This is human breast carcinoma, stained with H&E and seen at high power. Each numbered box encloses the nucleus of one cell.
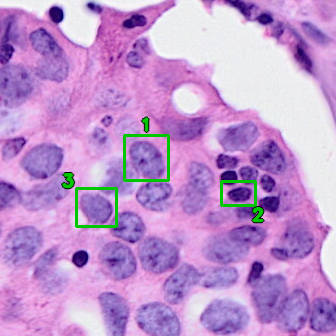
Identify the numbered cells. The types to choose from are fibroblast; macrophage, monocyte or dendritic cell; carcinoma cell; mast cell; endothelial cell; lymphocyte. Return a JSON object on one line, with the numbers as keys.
{"1": "carcinoma cell", "2": "lymphocyte", "3": "carcinoma cell"}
